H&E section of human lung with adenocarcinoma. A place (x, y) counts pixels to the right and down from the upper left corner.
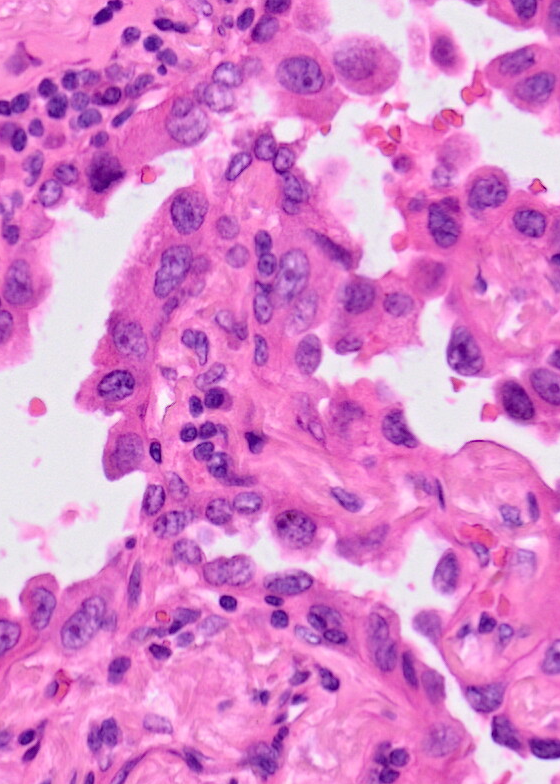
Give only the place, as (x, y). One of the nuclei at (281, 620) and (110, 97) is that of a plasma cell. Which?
(110, 97)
